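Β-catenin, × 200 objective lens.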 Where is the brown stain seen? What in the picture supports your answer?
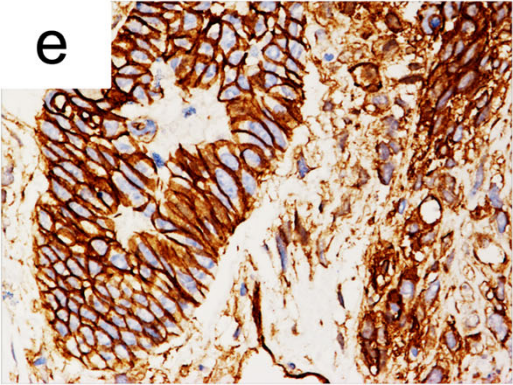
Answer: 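Membranous. Brown stain outlines the borders of each cell in a honeycomb pattern. Nuclei are pale blue and largely free of brown stain.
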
